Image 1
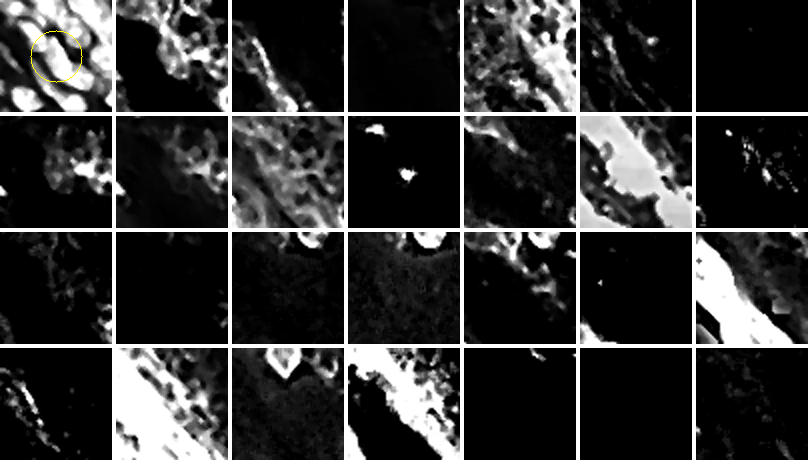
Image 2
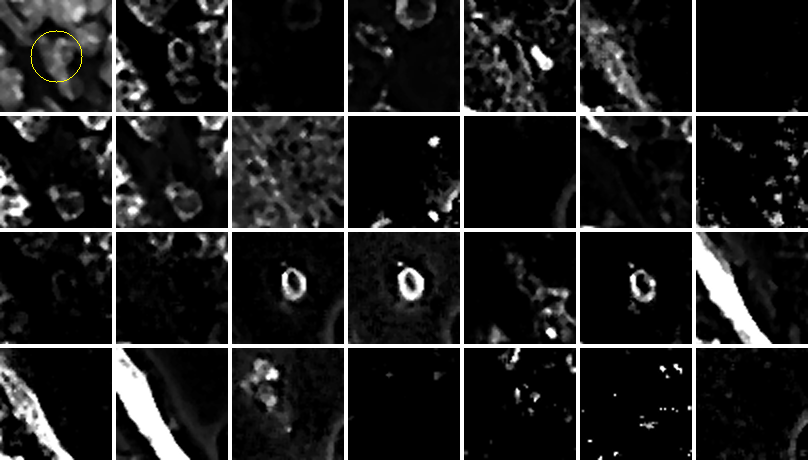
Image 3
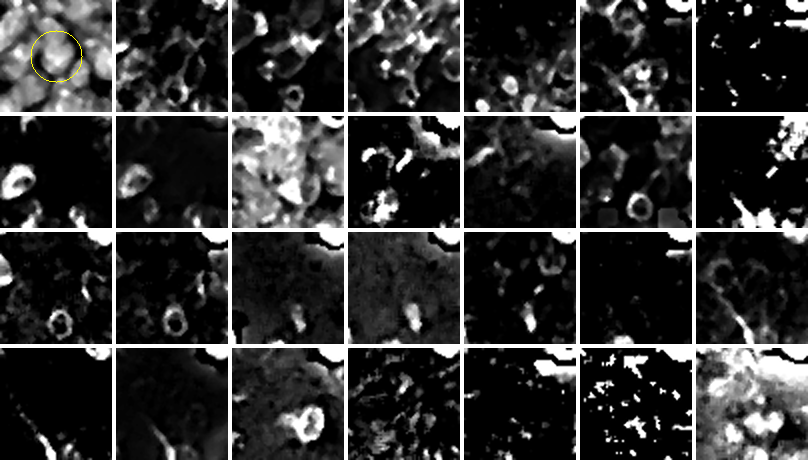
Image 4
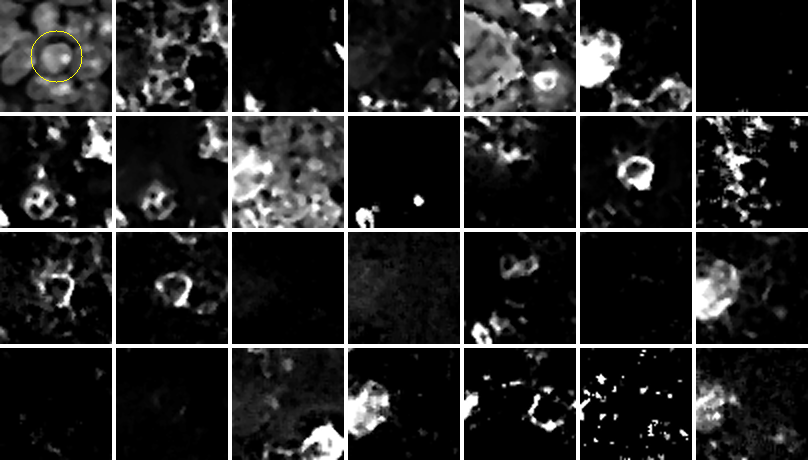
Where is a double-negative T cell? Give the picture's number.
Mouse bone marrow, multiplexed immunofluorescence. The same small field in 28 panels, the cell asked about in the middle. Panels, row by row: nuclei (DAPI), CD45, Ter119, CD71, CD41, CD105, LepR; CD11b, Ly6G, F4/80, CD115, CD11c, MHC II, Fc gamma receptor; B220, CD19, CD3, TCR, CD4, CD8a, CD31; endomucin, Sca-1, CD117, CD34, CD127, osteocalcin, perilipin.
2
